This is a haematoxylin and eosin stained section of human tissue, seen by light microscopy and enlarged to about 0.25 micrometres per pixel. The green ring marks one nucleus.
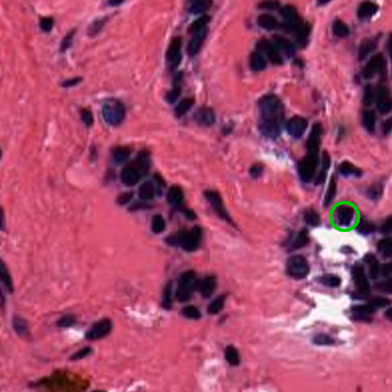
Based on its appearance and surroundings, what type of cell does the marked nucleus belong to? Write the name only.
thyroid follicular cell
